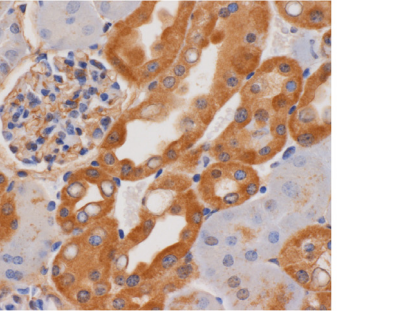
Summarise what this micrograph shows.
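This is renal cortex: a glomerulus sits toward the upper left, surrounded by many cross-sectioned tubules. The glomerulus itself shows mostly blue nuclei with only faint brown, while a few tubules at the edges of the field stay pale. The brown label thus lies mainly in the cytoplasm of the tubular epithelium.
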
